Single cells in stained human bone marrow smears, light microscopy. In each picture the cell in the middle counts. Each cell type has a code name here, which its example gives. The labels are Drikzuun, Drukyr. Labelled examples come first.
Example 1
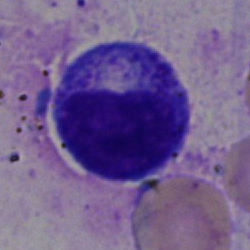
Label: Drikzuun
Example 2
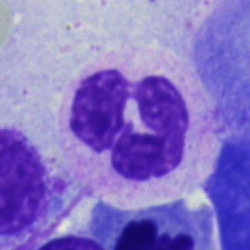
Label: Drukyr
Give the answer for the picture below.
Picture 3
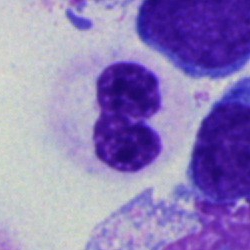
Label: Drukyr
